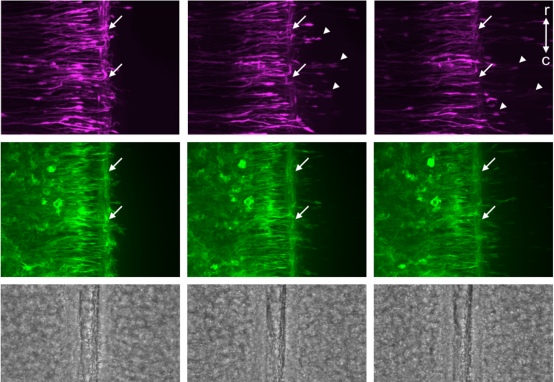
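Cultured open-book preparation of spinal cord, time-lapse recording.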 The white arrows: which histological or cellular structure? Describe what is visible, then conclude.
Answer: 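Contralateral ventral funiculus. The arrows point to a dense longitudinal band of fibres near the midline region. Many transverse fibres meet this band from the left.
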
